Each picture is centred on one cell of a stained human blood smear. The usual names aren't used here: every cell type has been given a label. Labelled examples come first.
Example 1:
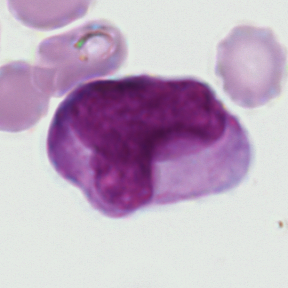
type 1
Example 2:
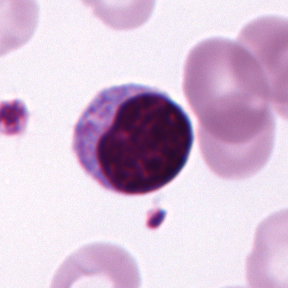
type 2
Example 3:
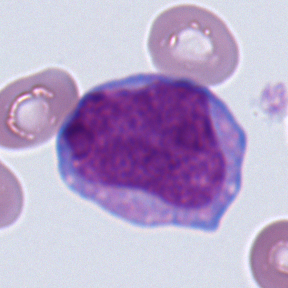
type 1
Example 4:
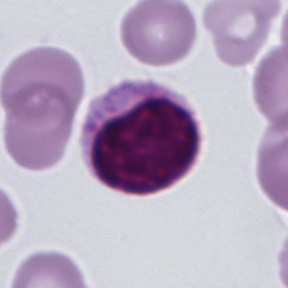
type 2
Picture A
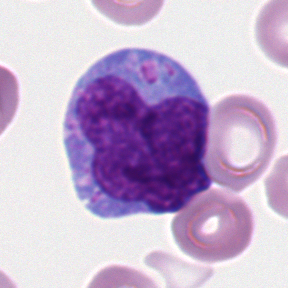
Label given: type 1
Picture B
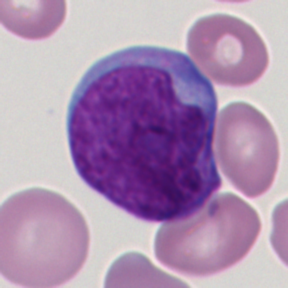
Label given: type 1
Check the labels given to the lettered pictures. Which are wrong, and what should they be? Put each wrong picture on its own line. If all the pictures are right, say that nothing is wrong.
All labels are correct.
